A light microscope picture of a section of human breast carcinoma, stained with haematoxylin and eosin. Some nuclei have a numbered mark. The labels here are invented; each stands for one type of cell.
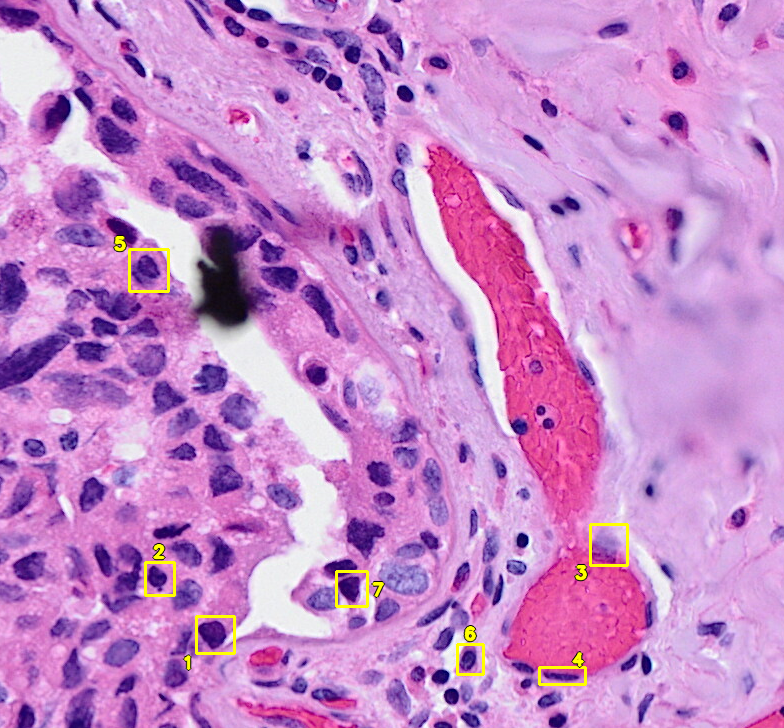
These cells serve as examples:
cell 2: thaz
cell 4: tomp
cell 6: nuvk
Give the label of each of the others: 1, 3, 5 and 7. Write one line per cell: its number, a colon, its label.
1: thaz
3: tomp
5: thaz
7: thaz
